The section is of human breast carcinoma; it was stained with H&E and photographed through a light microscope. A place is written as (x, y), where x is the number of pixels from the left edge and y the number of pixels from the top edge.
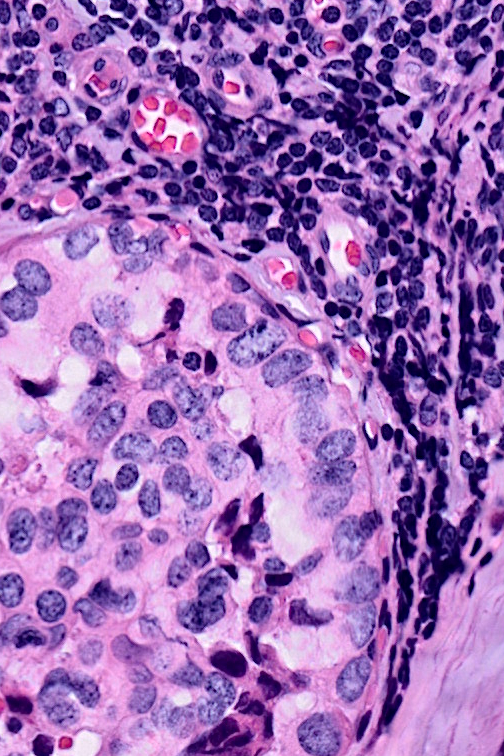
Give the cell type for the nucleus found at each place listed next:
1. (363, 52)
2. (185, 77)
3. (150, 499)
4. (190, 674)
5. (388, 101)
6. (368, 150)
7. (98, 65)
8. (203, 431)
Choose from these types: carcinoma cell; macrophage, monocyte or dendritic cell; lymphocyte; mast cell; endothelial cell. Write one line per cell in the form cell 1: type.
cell 1: lymphocyte
cell 2: lymphocyte
cell 3: carcinoma cell
cell 4: carcinoma cell
cell 5: lymphocyte
cell 6: lymphocyte
cell 7: endothelial cell
cell 8: carcinoma cell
